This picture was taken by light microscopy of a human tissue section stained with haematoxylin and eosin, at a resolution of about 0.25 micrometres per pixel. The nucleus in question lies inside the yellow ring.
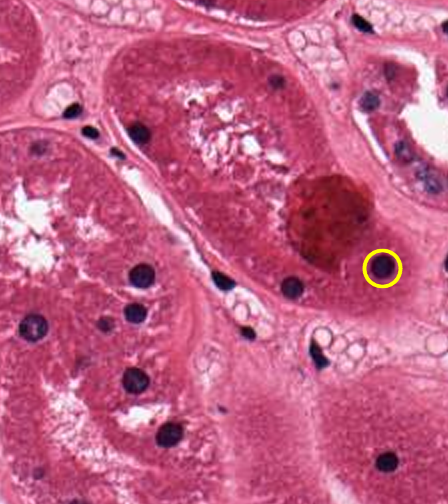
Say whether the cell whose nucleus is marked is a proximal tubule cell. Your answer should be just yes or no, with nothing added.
yes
